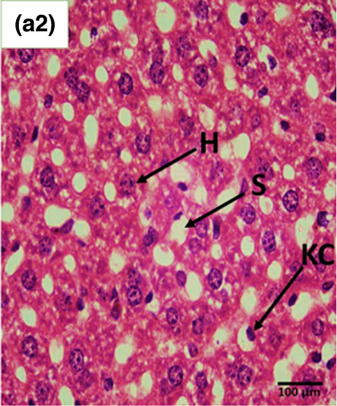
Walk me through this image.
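Here is normal liver at high power: hepatocytes packed together with sinusoidal spaces between them. Each hepatocyte is a polygonal cell with finely granular pink-violet cytoplasm and a round purple nucleus, several showing a distinct nucleolus and a few cells carrying two nuclei. Scattered among the cells are clear, white, rounded or oval spaces, the sinusoids cut across and along their length. Beside some of these spaces lie small, dark, compact nuclei much smaller than those of the hepatocytes, cells lining the sinusoids.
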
